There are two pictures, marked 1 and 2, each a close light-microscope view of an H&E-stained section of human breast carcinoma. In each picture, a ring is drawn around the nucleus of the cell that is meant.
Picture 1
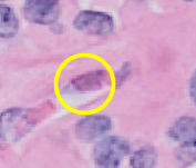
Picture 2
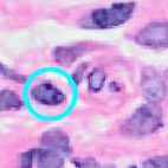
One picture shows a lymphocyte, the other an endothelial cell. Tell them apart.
1: endothelial cell
2: lymphocyte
